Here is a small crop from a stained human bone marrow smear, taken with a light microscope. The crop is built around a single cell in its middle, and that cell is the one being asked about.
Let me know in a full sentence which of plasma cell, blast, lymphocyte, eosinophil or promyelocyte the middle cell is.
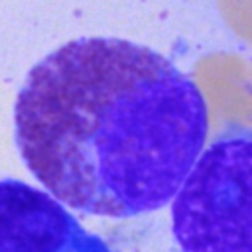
The middle of this crop is occupied by an eosinophil.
